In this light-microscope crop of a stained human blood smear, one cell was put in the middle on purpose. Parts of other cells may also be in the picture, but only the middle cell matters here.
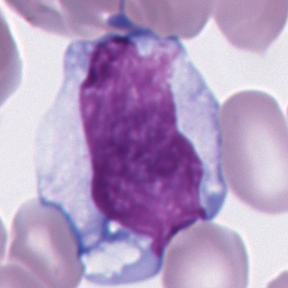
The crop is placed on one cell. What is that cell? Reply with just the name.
monocyte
